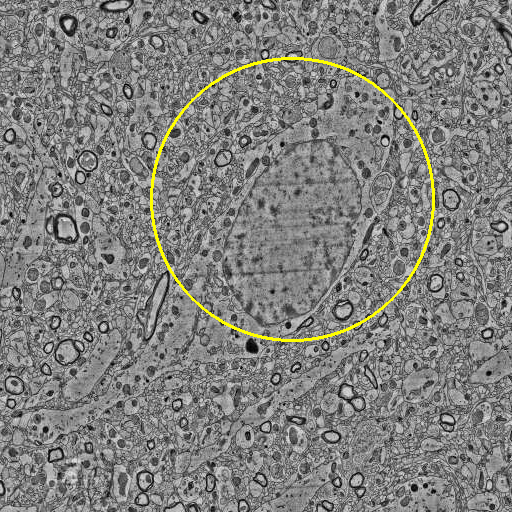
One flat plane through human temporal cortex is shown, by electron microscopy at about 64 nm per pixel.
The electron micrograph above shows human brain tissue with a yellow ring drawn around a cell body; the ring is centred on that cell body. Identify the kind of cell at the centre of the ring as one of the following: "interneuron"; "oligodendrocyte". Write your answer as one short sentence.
The cell at the centre of the ring is an interneuron.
